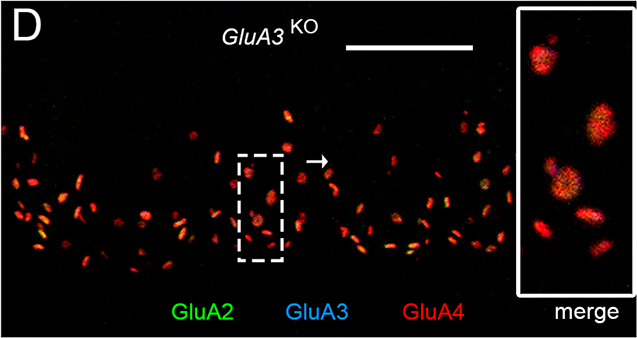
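Small discrete oval and elongated puncta lie in a band, grouped in repeating clusters along the row. Here the puncta are predominantly red to orange, with some yellowish-green tint, and blue is nearly absent. In the enlarged inset several puncta appear as rounded or elongated patches of varying size with mottled red and orange interiors. Only the synaptic puncta are labelled against a dark background; no cell outlines are visible.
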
